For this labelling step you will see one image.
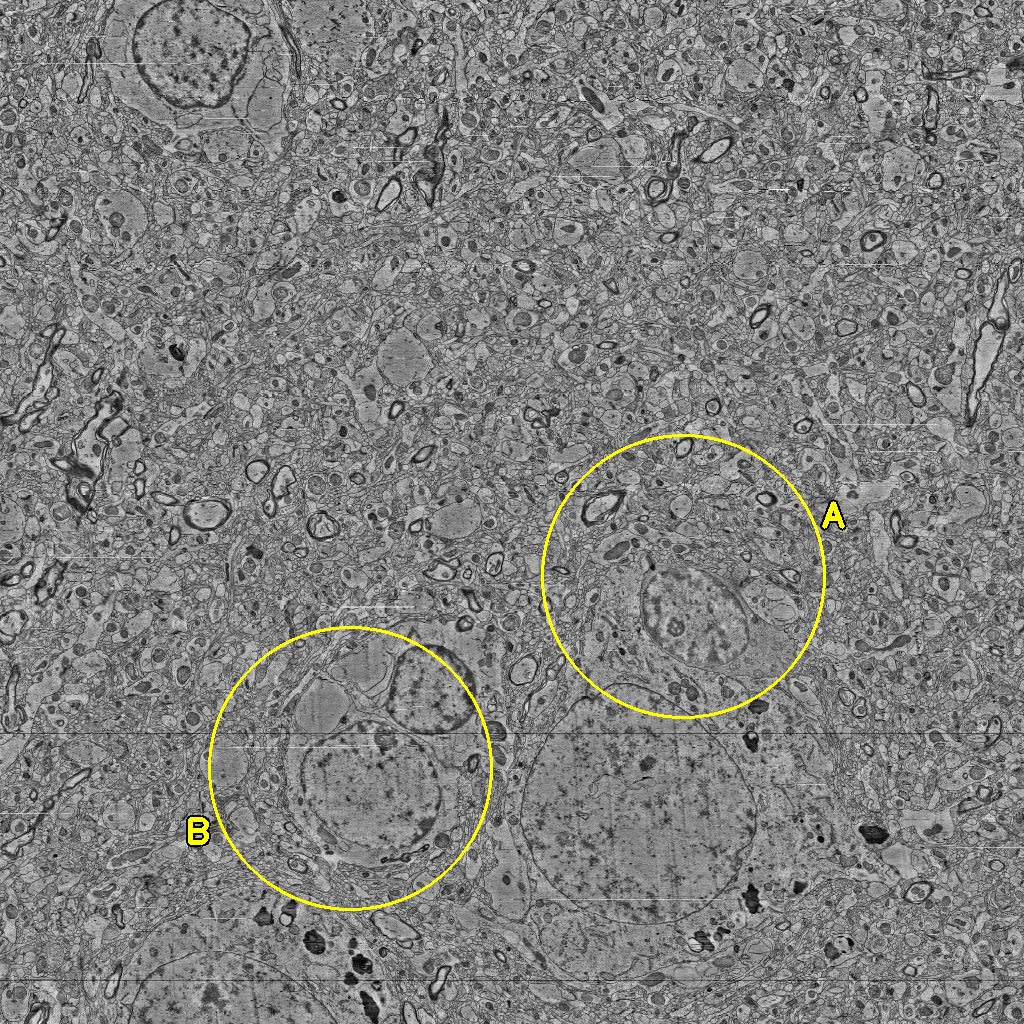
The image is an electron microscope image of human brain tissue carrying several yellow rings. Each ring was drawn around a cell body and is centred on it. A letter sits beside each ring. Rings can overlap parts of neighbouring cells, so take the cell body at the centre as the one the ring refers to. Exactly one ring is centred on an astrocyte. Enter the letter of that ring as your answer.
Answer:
B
